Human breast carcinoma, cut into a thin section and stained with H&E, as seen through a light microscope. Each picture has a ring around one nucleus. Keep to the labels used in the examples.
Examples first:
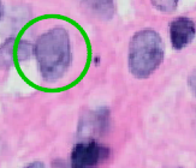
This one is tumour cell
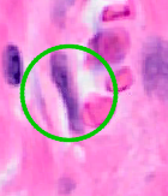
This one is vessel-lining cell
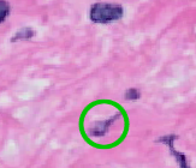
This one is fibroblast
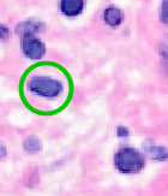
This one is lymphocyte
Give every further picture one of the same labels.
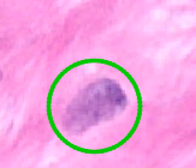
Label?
fibroblast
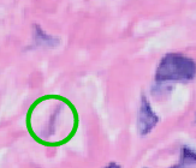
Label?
fibroblast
